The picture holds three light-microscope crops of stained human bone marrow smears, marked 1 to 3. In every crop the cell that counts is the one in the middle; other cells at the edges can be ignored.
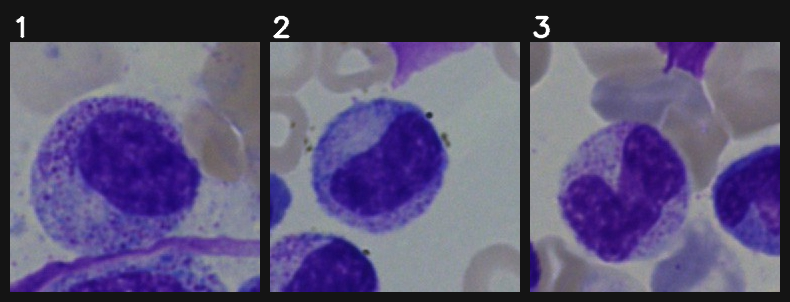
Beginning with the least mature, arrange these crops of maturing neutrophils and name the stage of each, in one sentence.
The maturity sequence, least mature to most mature, is crop 1 (a myelocyte), crop 2 (a metamyelocyte) and crop 3 (a band neutrophil).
